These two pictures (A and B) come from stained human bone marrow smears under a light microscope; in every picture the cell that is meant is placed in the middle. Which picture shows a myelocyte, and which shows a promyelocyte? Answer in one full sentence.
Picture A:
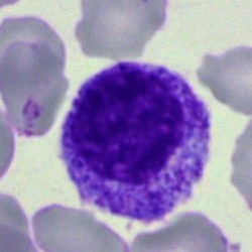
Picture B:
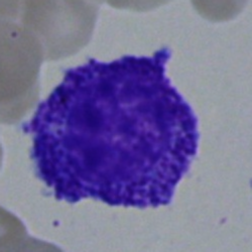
Picture A shows a myelocyte and picture B shows a promyelocyte.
